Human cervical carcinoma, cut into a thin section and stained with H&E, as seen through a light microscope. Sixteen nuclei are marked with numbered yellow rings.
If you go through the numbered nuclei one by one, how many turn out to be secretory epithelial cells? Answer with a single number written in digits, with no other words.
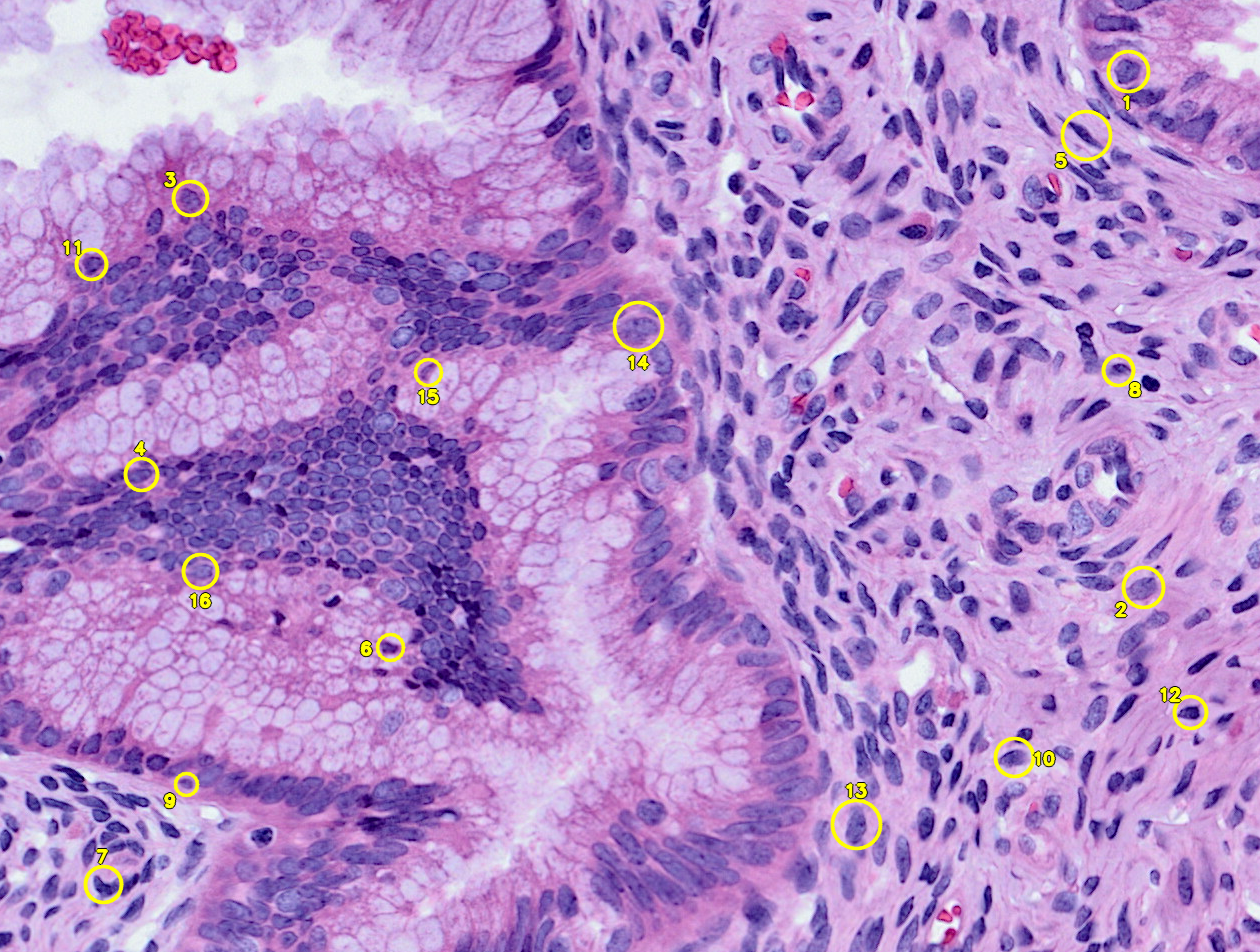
9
